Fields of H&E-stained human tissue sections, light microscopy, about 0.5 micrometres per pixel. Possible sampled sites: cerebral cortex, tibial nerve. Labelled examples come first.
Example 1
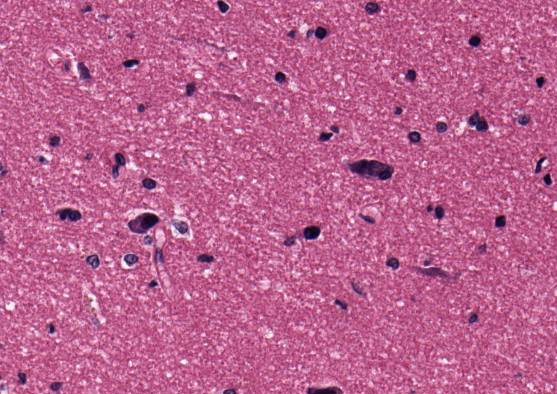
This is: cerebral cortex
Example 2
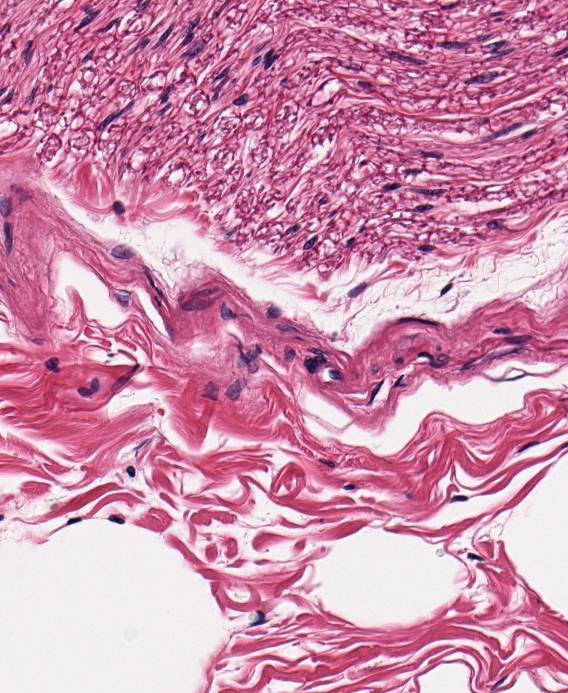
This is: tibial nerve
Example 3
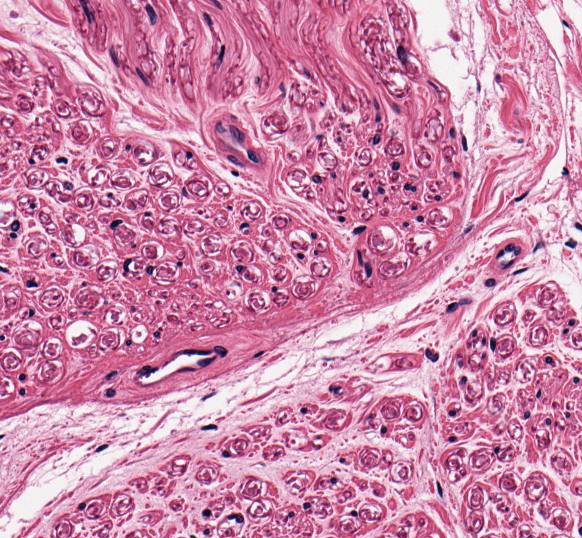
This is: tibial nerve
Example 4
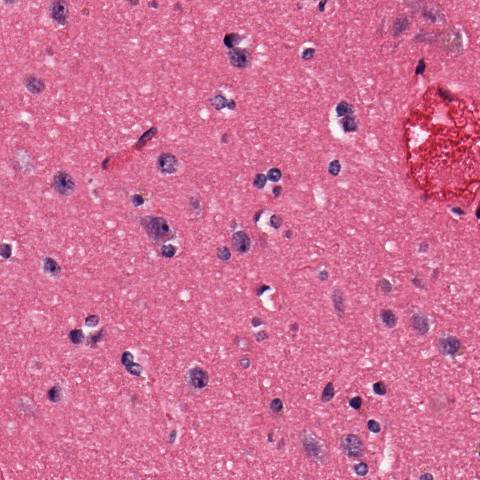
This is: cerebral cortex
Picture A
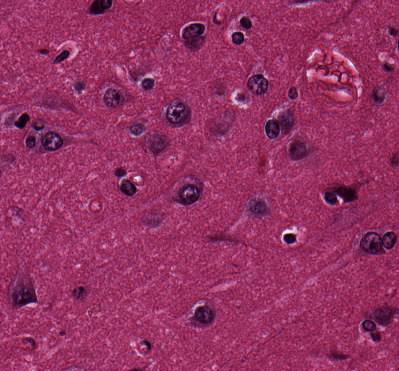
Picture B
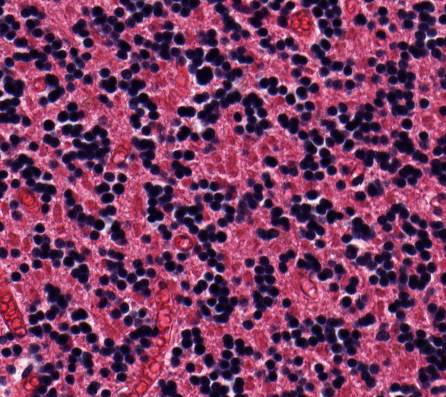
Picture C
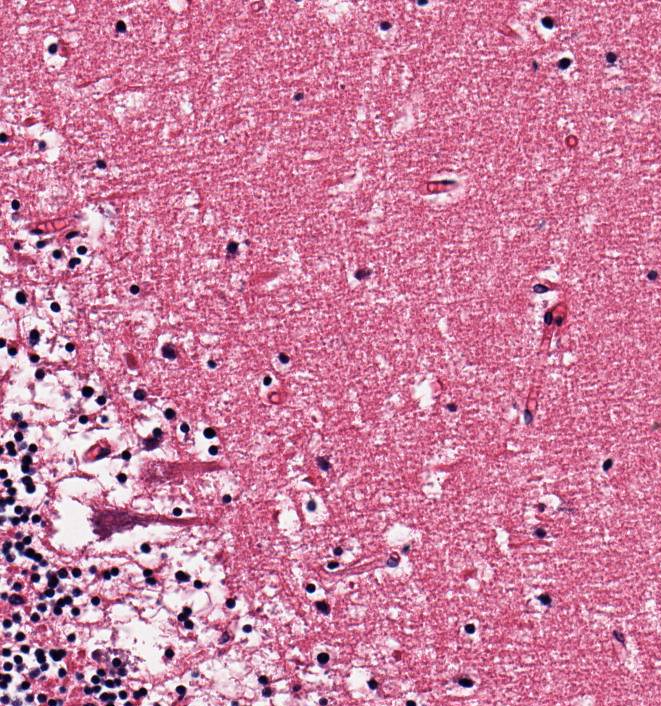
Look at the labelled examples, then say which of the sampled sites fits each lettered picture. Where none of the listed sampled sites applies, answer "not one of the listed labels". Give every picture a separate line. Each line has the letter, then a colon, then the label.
A: cerebral cortex
B: not one of the listed labels
C: not one of the listed labels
